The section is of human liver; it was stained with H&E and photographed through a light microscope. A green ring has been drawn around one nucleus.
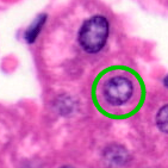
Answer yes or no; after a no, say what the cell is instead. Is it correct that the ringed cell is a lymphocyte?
No, it is a hepatocyte.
